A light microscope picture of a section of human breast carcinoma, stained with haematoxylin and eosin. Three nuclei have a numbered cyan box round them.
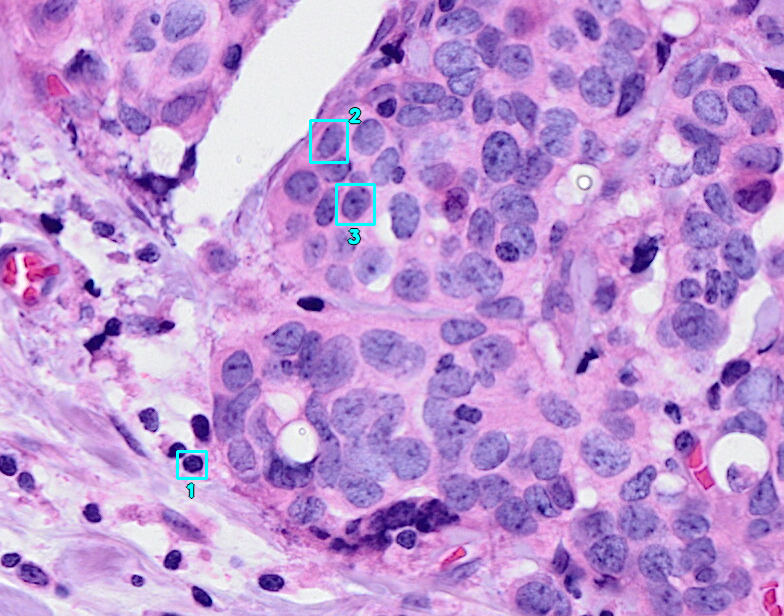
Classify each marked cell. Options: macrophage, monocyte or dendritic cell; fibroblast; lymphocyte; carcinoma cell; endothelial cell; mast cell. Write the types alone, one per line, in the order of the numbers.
lymphocyte
carcinoma cell
carcinoma cell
